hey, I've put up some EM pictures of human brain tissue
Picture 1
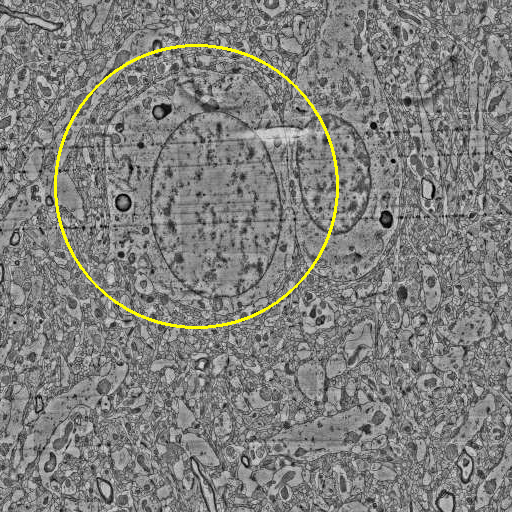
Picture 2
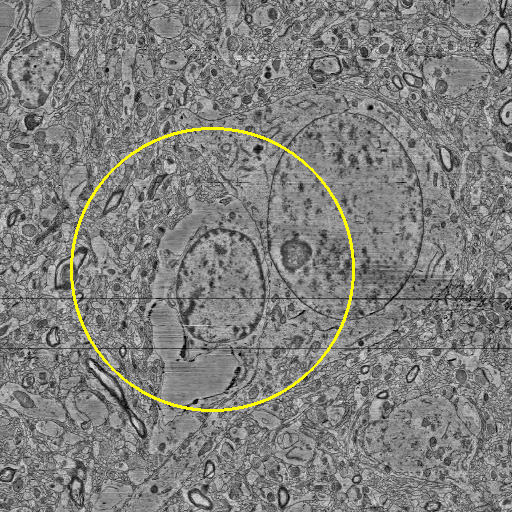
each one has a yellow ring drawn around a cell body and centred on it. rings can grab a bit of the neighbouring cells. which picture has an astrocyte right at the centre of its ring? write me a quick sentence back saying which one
It's Picture 2.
